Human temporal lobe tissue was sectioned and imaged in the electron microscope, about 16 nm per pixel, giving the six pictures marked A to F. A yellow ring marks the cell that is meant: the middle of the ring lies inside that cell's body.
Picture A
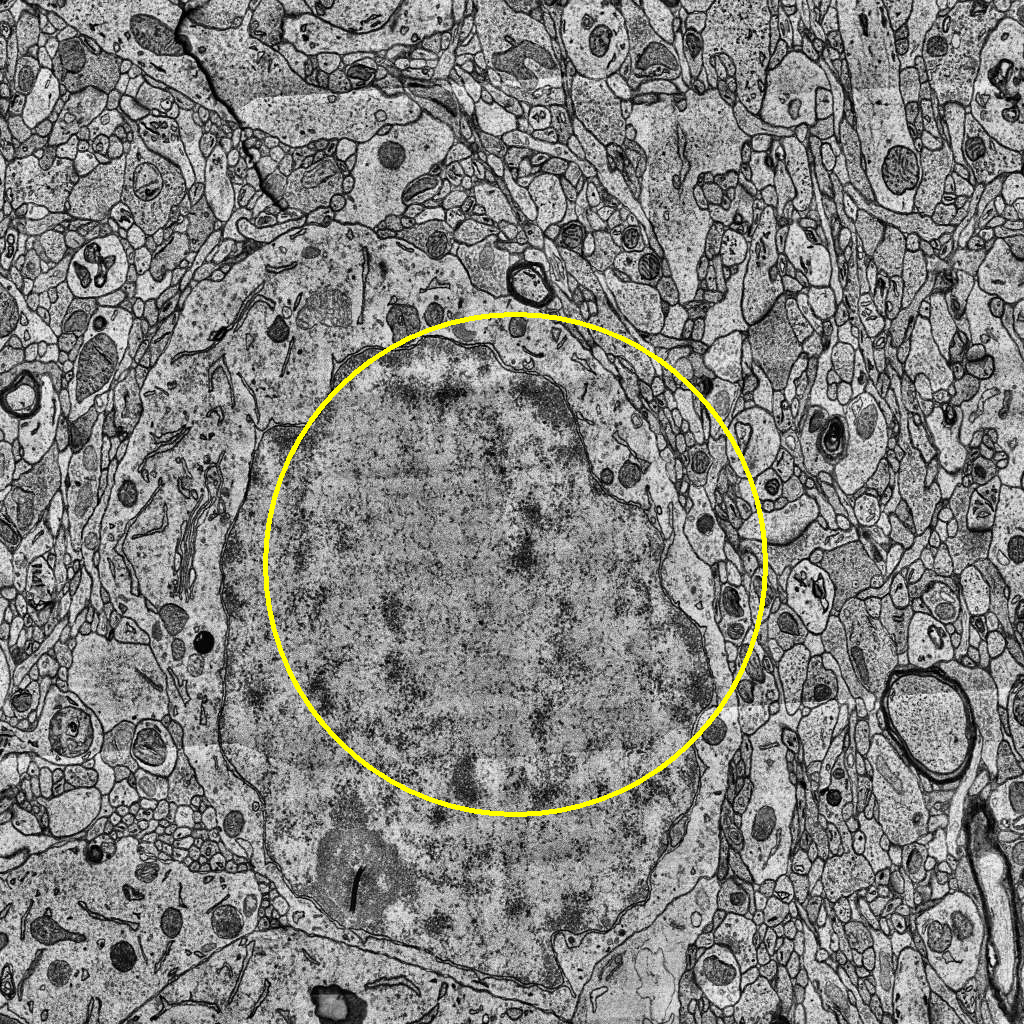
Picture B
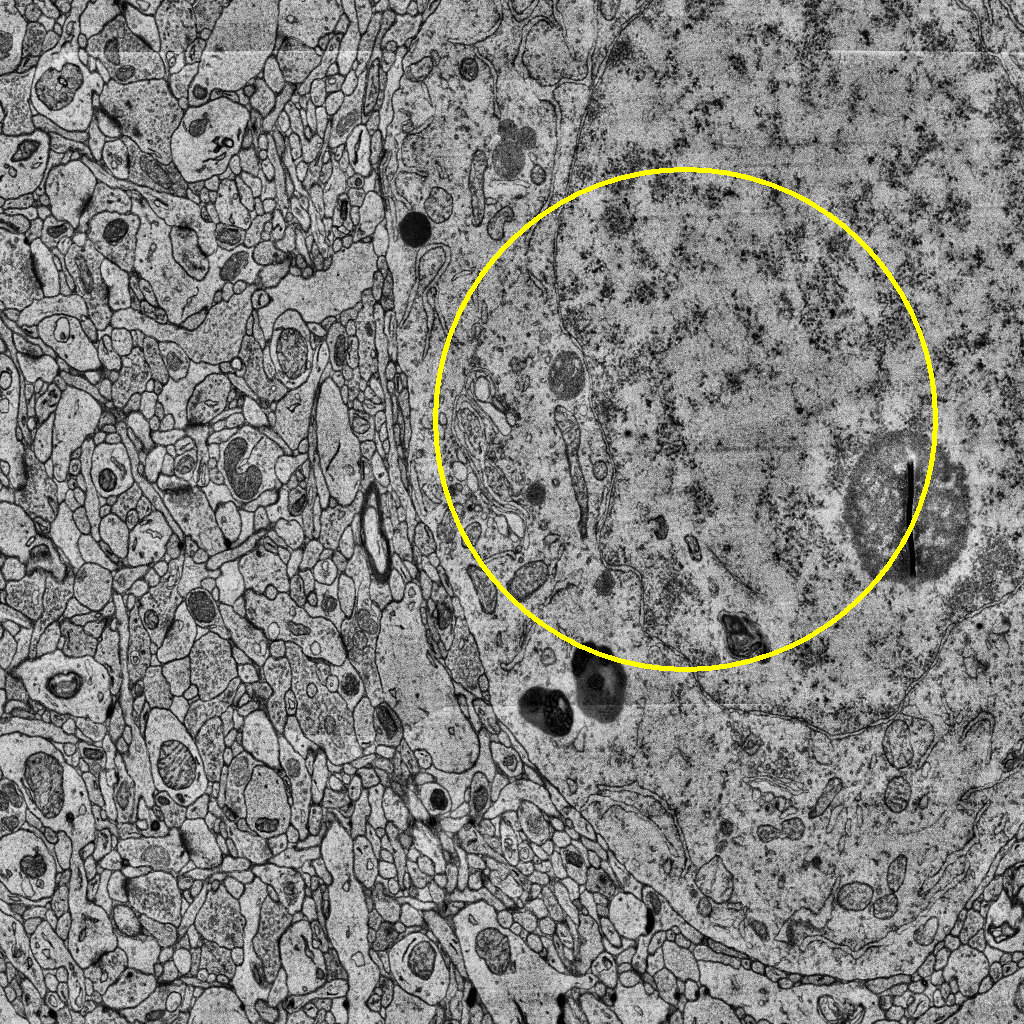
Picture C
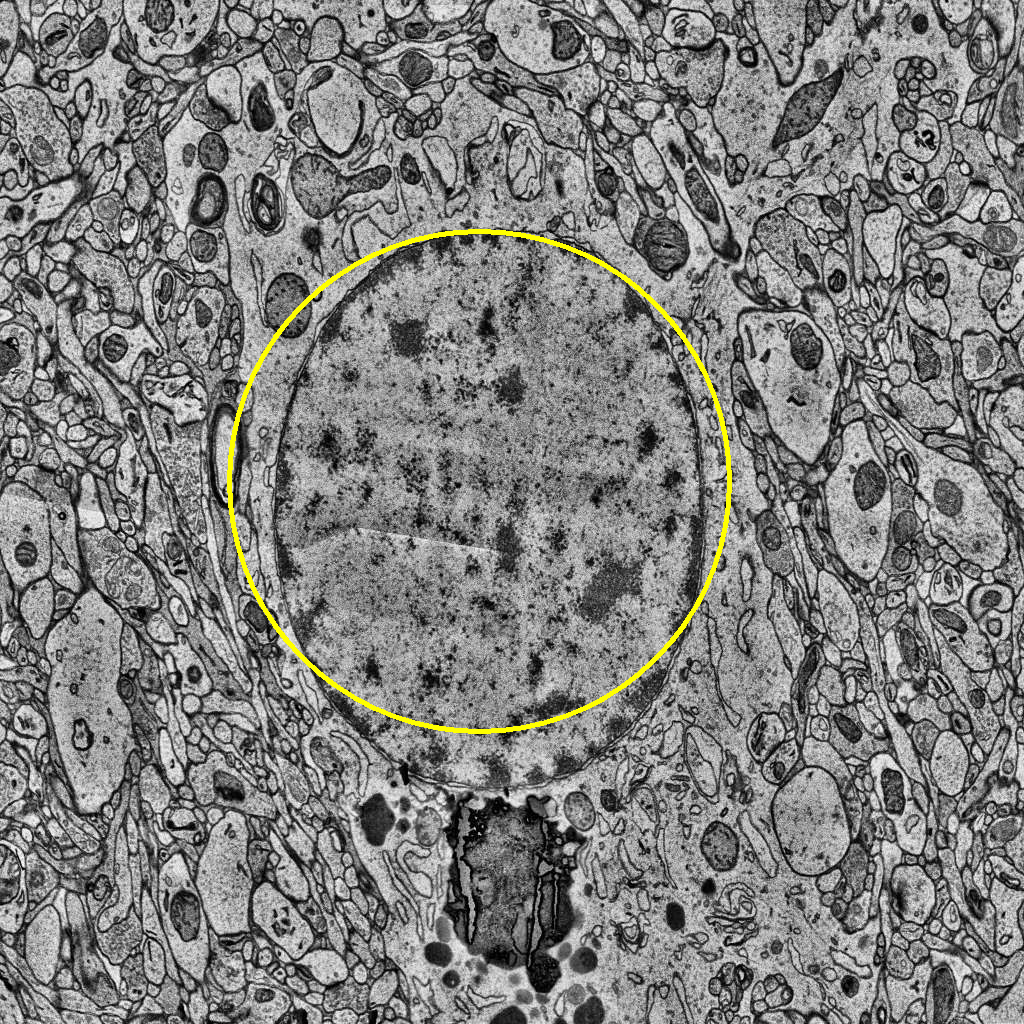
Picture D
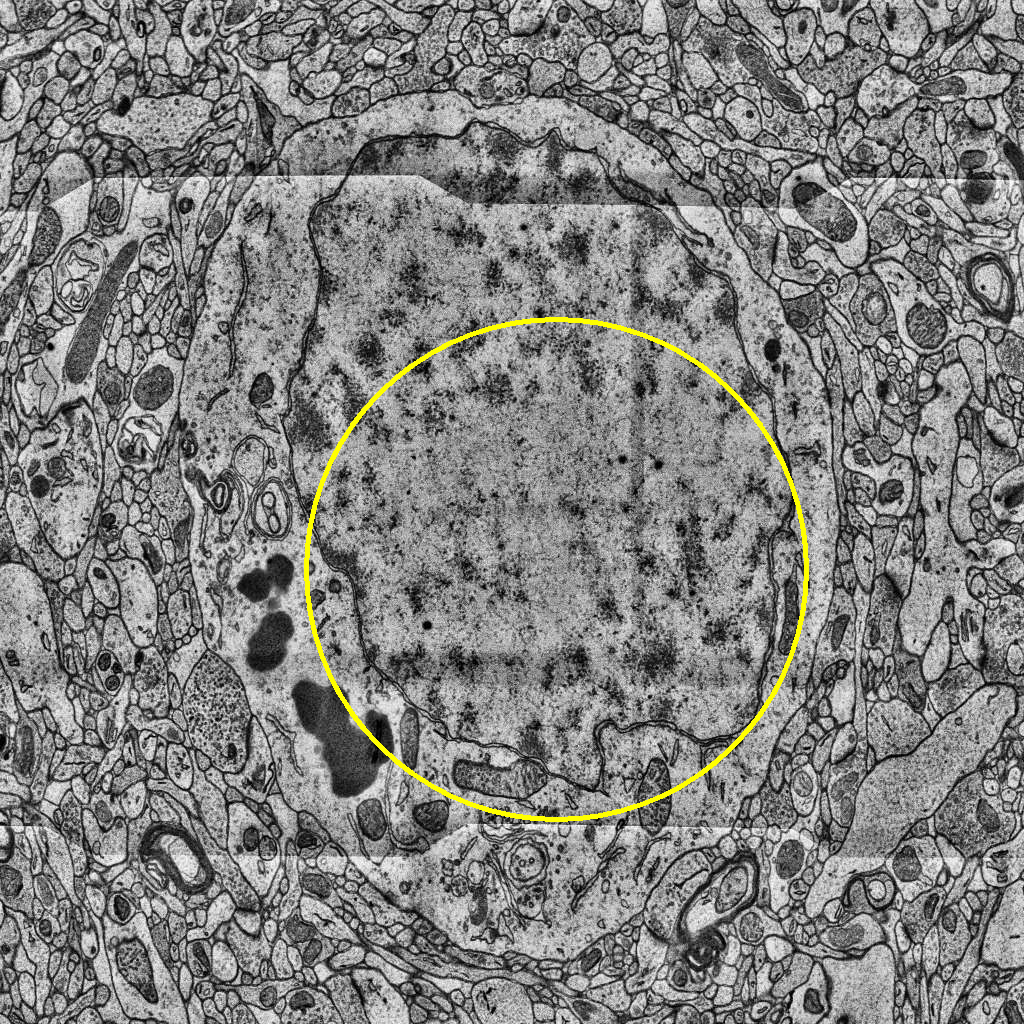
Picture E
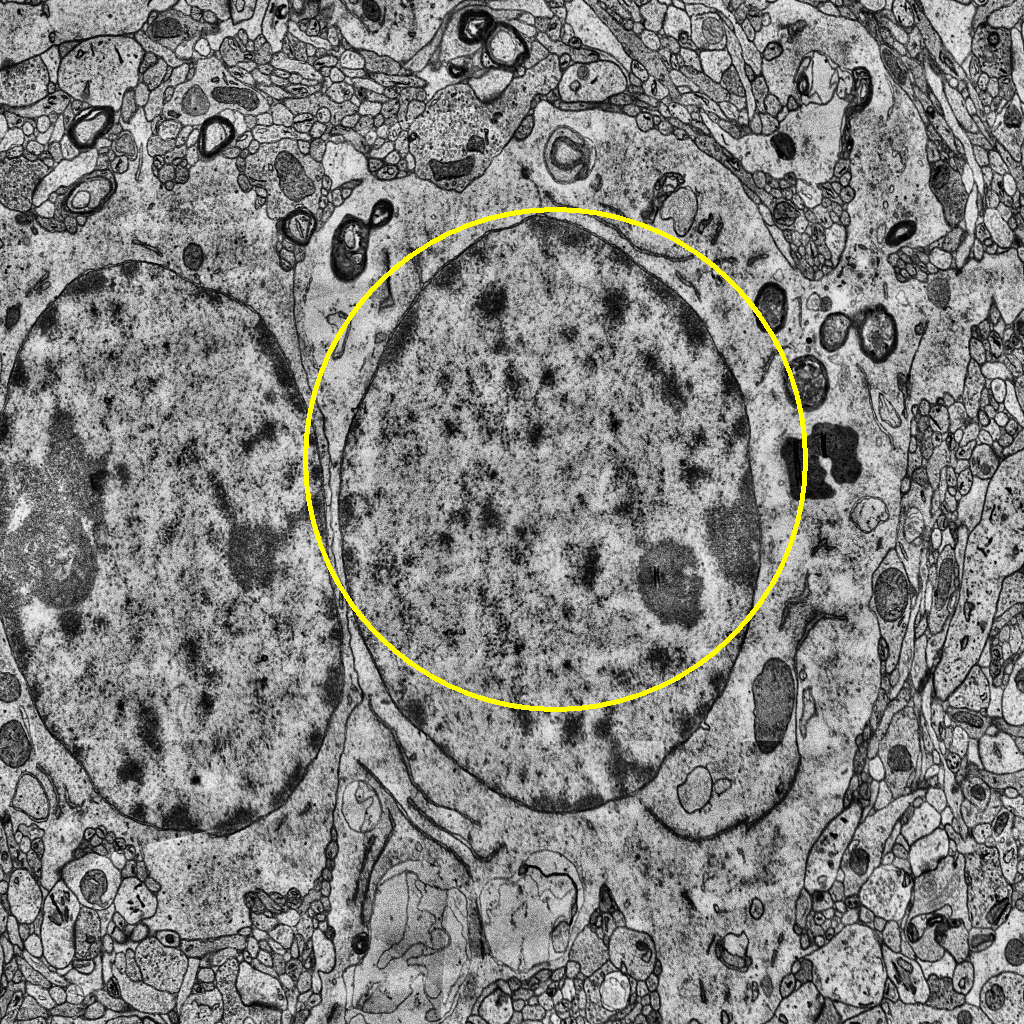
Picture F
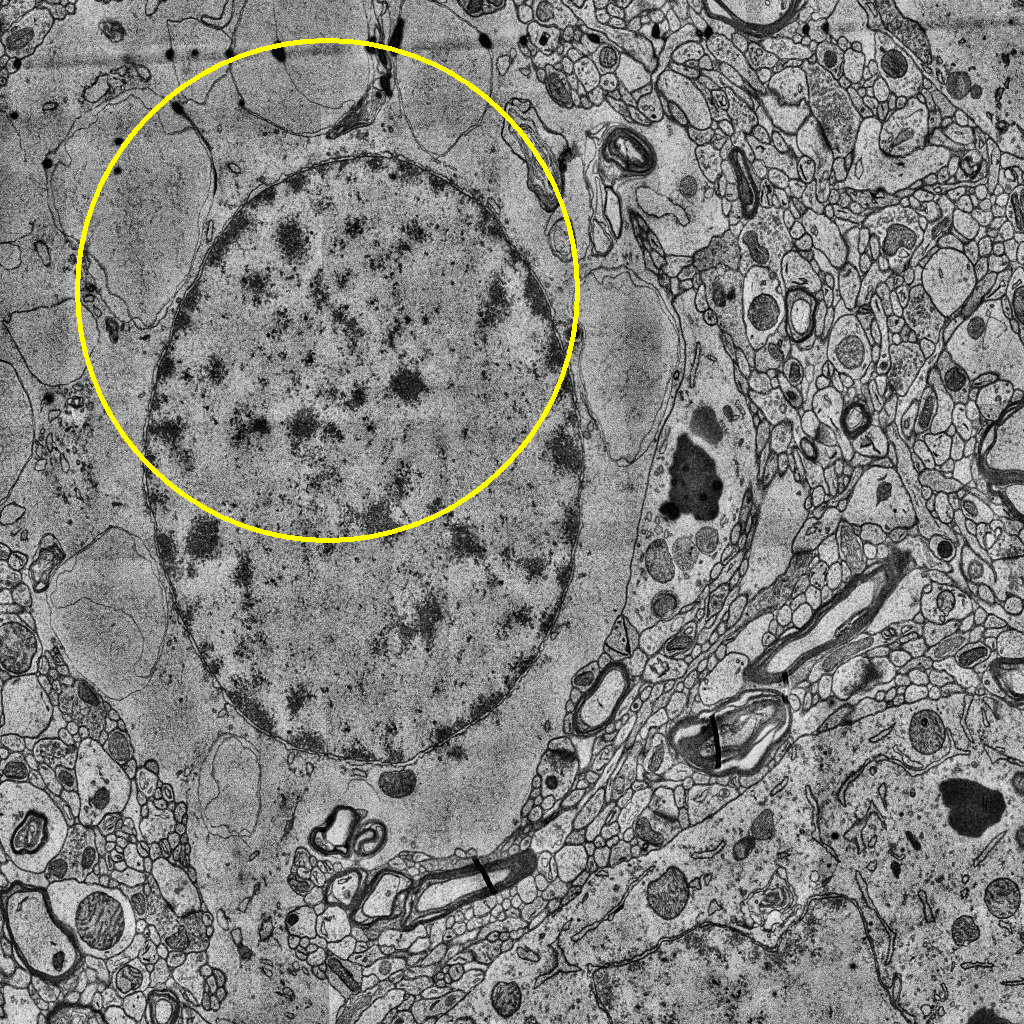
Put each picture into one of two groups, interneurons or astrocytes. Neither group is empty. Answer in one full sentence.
Pictures A, B and D show interneurons; pictures C, E and F show astrocytes.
